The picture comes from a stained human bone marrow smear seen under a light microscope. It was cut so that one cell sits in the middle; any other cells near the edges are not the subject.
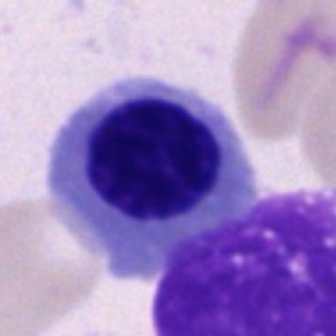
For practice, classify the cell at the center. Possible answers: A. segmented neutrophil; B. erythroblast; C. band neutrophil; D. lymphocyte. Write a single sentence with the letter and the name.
Here the right option is B, as the cell in the middle is an erythroblast.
